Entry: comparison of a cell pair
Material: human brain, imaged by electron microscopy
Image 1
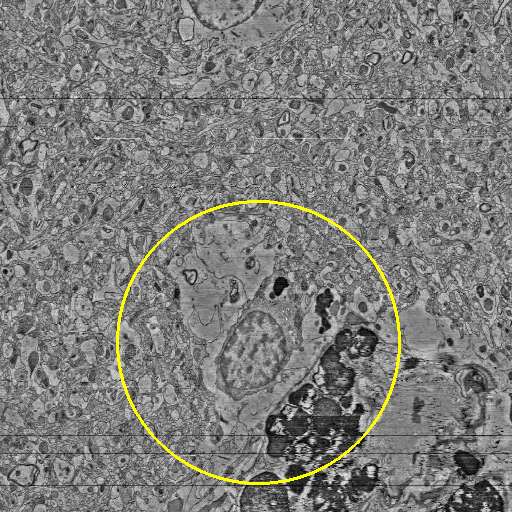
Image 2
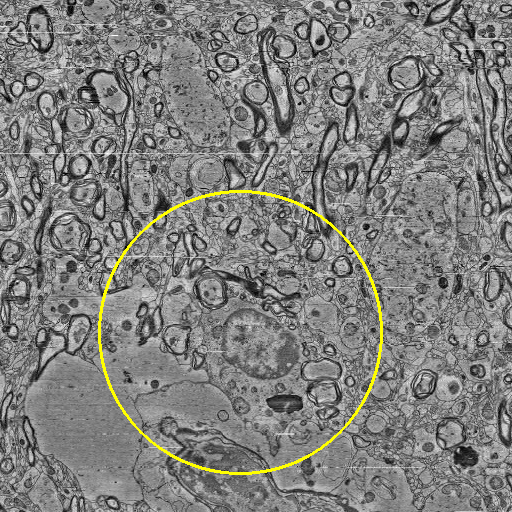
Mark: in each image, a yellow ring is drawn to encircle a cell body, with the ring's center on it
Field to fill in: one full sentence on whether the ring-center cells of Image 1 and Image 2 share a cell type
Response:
Yes, Image 1 and Image 2 each show a ring-center cell of one shared type.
